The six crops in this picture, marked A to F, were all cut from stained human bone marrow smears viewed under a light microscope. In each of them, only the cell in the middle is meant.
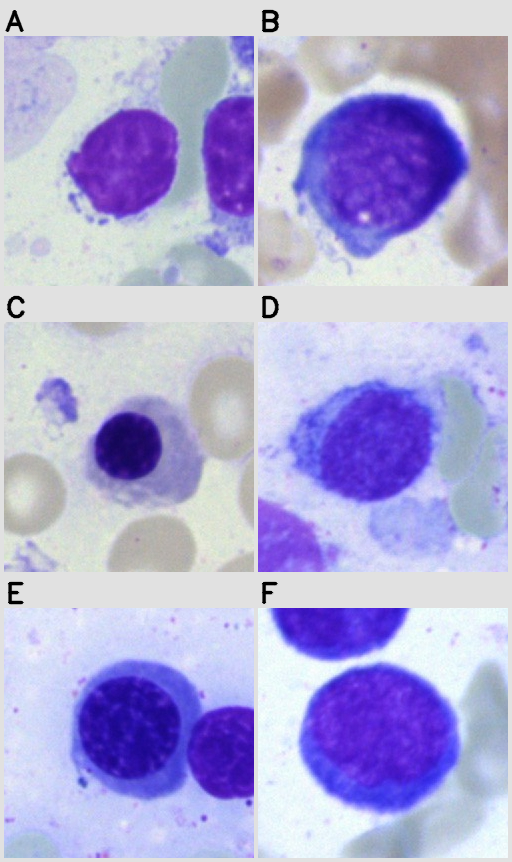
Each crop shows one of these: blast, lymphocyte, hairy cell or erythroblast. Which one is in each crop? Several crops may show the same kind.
A: lymphocyte
B: blast
C: erythroblast
D: hairy cell
E: erythroblast
F: blast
